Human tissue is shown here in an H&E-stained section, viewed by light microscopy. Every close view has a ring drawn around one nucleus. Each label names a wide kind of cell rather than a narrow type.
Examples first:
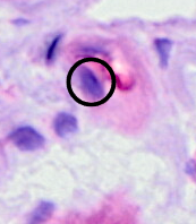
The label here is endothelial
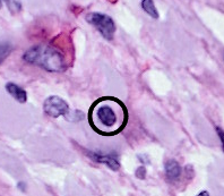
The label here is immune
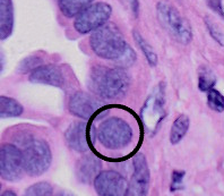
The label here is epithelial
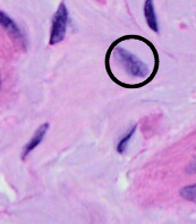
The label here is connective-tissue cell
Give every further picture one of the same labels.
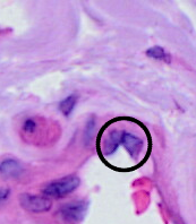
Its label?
endothelial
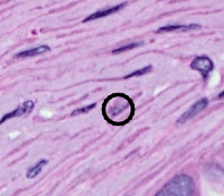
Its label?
connective-tissue cell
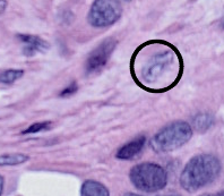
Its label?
connective-tissue cell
